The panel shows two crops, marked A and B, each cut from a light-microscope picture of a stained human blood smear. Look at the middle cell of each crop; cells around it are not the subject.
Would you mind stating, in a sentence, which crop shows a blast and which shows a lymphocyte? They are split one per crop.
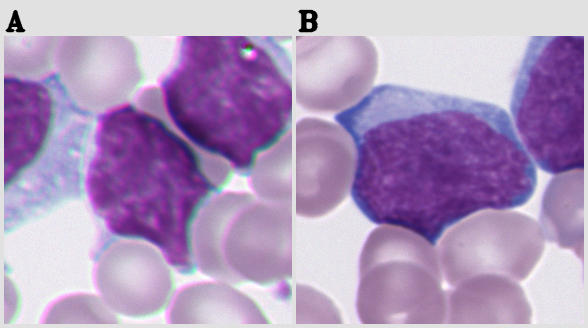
The cell of crop A is a lymphocyte; that of crop B is a blast.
